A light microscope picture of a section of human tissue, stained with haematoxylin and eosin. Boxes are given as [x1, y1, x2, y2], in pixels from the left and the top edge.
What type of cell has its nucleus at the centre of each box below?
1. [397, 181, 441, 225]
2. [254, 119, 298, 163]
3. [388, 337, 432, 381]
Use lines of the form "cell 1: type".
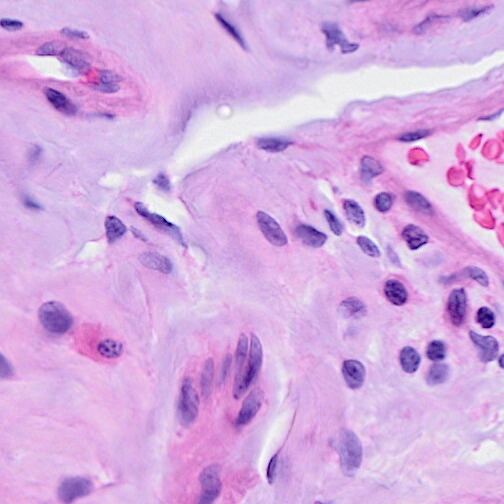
cell 1: endothelial cell
cell 2: fibroblast
cell 3: lymphocyte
